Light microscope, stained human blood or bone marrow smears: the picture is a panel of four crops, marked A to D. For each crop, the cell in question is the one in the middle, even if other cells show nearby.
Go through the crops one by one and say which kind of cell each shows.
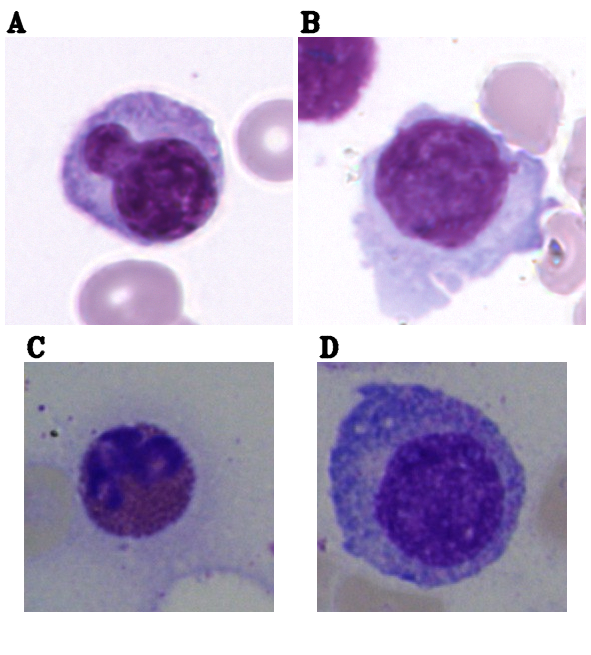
A: plasma cell
B: plasma cell
C: eosinophil
D: promyelocyte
